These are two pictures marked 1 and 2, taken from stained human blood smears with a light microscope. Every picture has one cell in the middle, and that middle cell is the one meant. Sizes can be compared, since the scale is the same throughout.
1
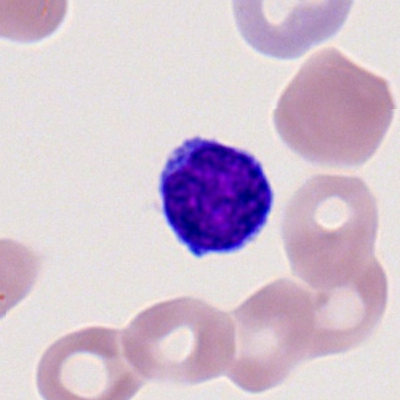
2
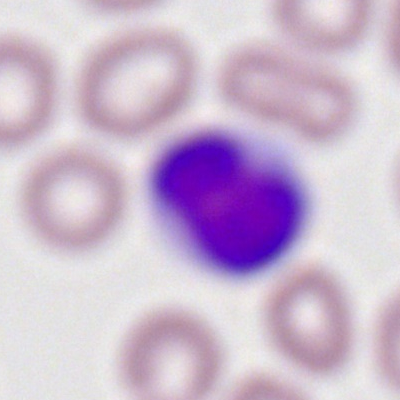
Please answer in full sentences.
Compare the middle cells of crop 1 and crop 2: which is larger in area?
The cell in crop 2 is larger, with about 1.5 times the area of the one in crop 1.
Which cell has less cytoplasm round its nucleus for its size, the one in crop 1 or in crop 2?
The nucleus fills more of the cell in crop 1 than in crop 2.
